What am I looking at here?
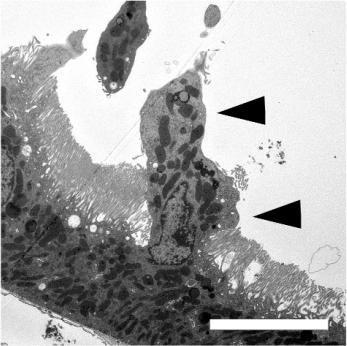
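A tubular epithelium lines a pale lumen, its cells crowded with dark elongated mitochondria and topped by a dense brush border of microvilli. One elongated cell with its nucleus stands up out of the layer and projects into the lumen, and a detached cell fragment lies free above it. This is a single tubular cell being extruded from the proximal tubule epithelium.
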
